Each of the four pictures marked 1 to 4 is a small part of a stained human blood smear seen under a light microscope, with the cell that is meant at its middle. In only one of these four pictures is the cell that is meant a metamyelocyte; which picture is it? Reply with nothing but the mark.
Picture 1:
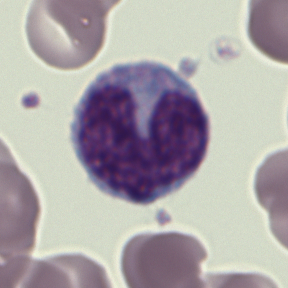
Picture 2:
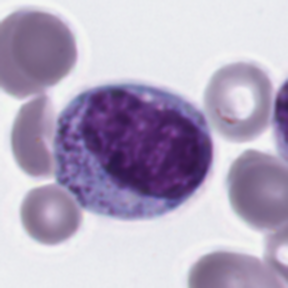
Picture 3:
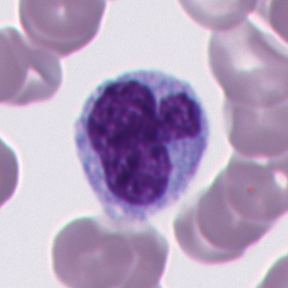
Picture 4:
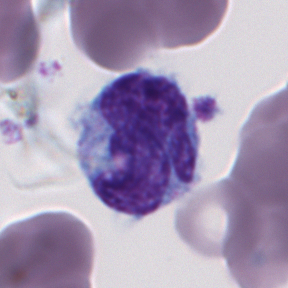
2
